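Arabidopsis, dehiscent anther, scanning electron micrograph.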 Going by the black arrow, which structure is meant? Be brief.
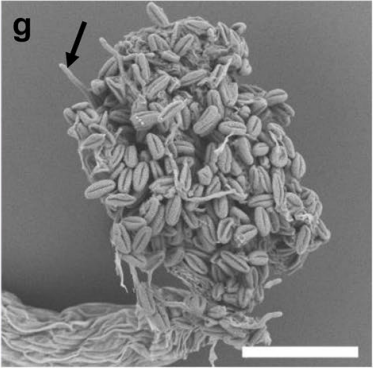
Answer: Pollen tubes.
